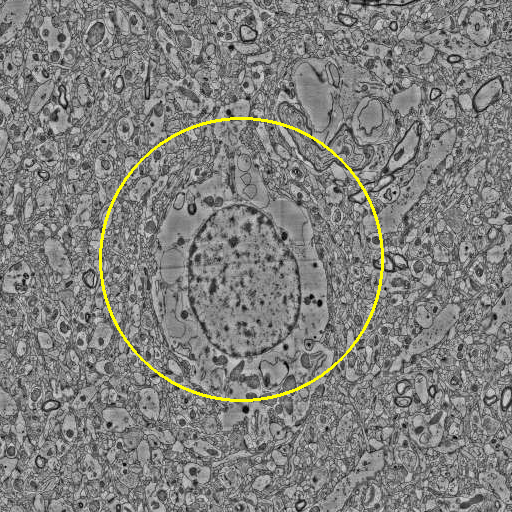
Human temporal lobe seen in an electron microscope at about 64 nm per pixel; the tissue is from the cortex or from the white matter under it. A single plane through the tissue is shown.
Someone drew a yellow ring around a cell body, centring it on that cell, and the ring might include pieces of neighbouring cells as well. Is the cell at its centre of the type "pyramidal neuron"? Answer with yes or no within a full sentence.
No, within the picture, the cell the ring is centred on is a different type.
